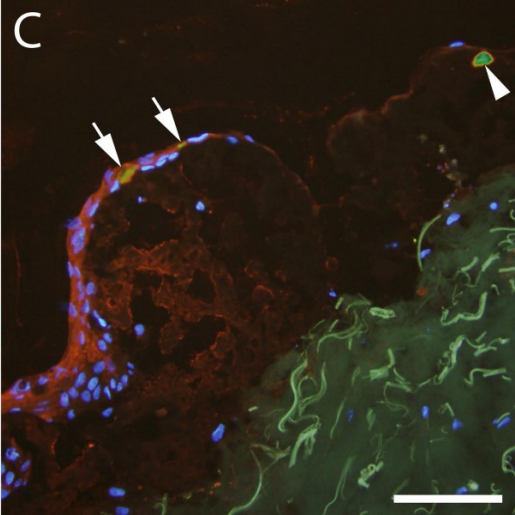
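Wound edge with an epithelial tongue of keratinocytes. A sheet a few cells thick, red in the cytoplasm with oval blue nuclei, curves over the left part of the field, covering a dark, loosely red-tinged mass beneath it. Within the sheet a few cells carry an additional yellow-green signal, lying among the red cells. To the lower right lies connective tissue with wavy green fibres and scattered blue nuclei, not covered by the red sheet. At the upper right corner a single round, bright green cell lies apart on the surface.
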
